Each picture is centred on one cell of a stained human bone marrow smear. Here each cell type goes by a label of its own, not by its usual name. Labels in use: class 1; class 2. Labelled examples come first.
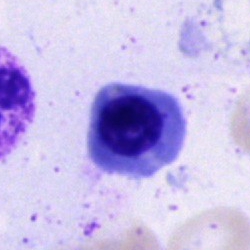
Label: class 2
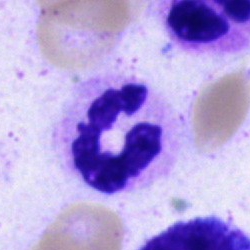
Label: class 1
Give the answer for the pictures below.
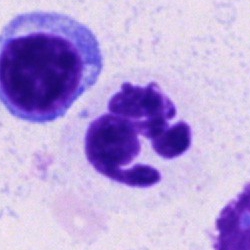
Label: class 1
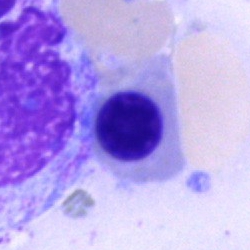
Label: class 2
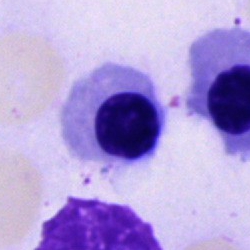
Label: class 2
